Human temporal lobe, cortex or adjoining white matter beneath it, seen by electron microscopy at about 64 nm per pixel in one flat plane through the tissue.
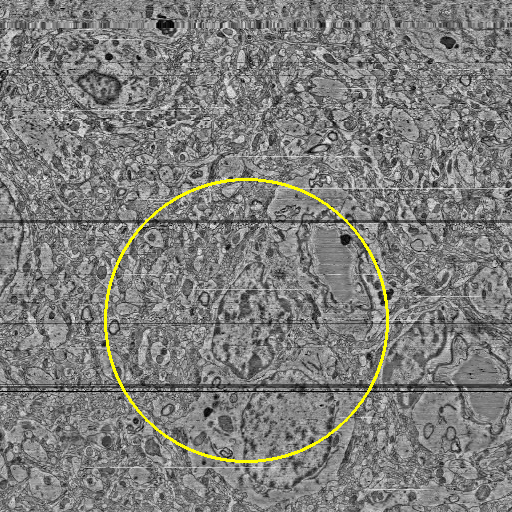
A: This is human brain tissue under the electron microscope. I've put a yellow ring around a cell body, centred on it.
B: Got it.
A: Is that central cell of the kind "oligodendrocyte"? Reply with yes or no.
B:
no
